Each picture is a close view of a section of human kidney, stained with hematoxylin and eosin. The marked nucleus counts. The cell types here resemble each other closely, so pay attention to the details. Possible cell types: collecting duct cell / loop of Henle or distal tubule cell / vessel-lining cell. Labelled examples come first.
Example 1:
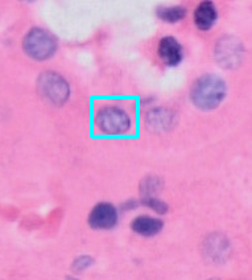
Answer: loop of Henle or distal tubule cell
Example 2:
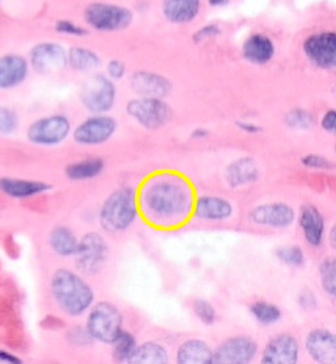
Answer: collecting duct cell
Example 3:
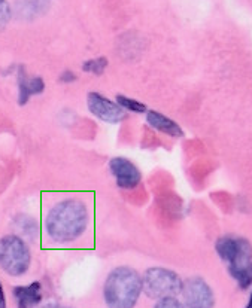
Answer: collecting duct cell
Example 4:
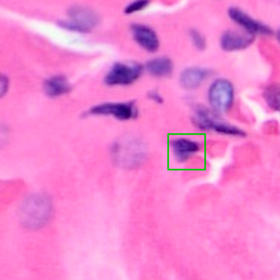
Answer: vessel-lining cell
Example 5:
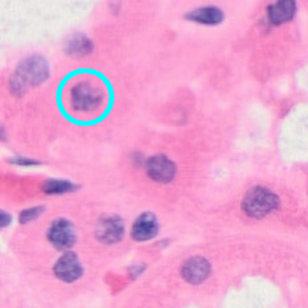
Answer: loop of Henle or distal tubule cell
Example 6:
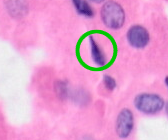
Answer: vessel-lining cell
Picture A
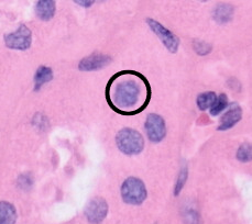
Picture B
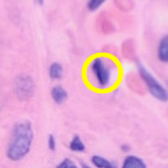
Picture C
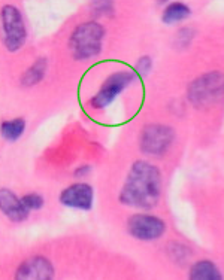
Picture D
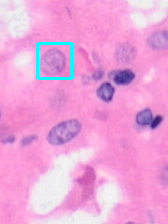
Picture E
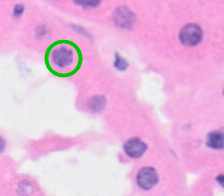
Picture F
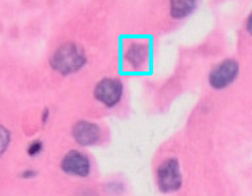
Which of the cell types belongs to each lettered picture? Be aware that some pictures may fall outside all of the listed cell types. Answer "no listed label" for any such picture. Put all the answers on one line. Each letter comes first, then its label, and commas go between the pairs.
A loop of Henle or distal tubule cell, B vessel-lining cell, C vessel-lining cell, D no listed label, E loop of Henle or distal tubule cell, F loop of Henle or distal tubule cell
